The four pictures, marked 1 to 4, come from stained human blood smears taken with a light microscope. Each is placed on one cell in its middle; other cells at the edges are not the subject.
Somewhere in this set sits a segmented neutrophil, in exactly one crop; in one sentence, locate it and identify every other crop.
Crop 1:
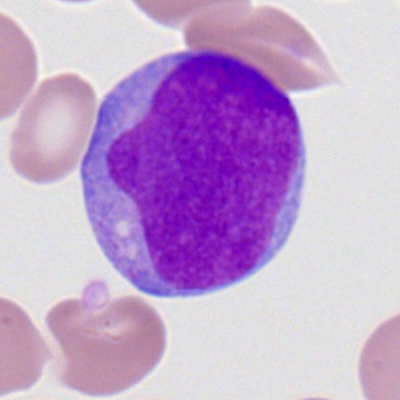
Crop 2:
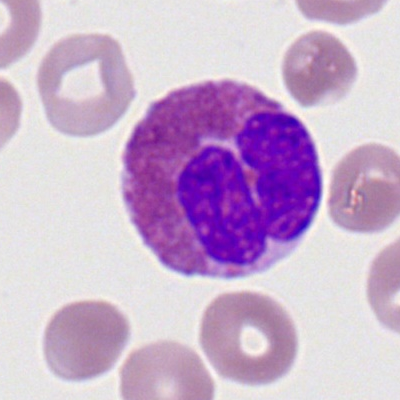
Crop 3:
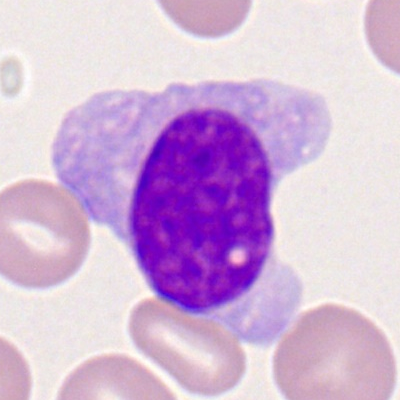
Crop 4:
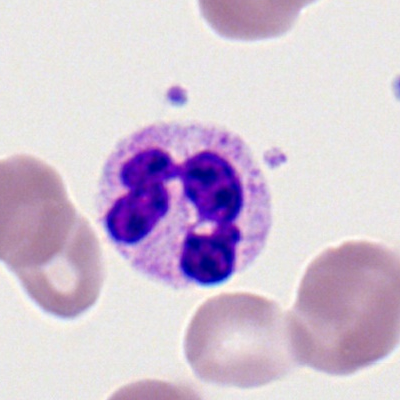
The middle cell of crop 4 is a segmented neutrophil, while crop 1 is a myeloblast, crop 2 is an eosinophil and crop 3 is a monocyte.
